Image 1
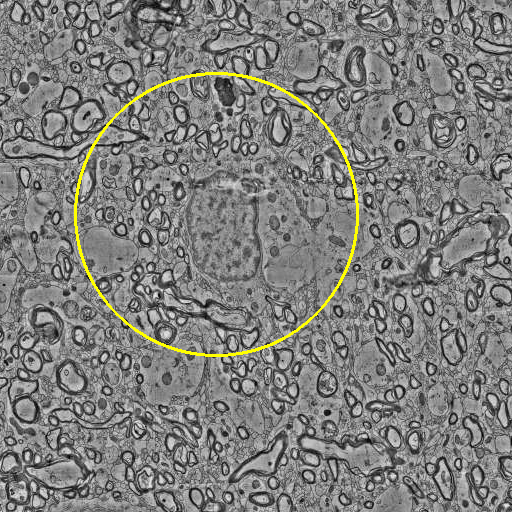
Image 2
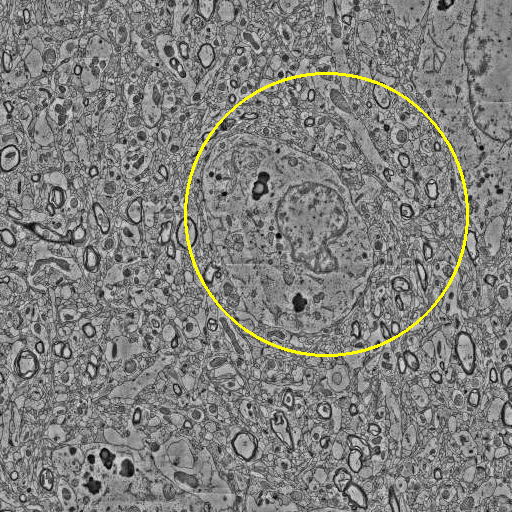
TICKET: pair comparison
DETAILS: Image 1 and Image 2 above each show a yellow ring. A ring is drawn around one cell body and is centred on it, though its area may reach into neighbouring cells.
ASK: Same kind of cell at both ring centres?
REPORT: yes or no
no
